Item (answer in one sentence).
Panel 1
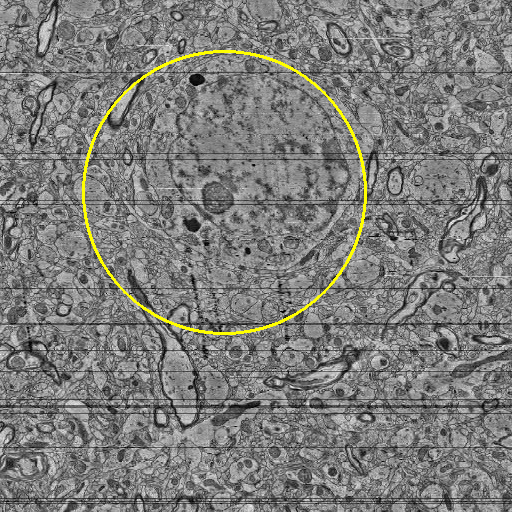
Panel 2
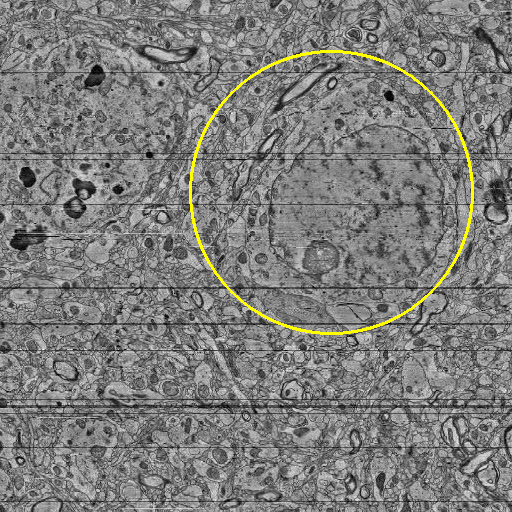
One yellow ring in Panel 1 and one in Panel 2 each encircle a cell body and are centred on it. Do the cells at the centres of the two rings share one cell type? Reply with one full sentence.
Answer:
Yes, Panel 1 and Panel 2 show cells of one type at the centres of their rings.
